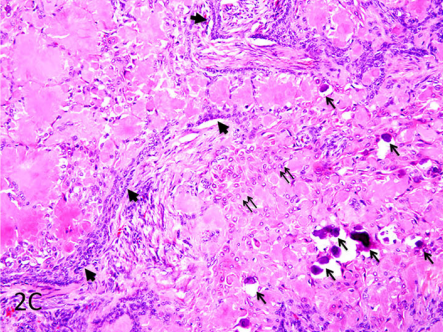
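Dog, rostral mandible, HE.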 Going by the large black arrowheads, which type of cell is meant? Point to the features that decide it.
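Small basilar epithelial cells. Narrow cords of small, closely packed cells with dark nuclei. The cords run between pale pink extracellular deposits.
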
